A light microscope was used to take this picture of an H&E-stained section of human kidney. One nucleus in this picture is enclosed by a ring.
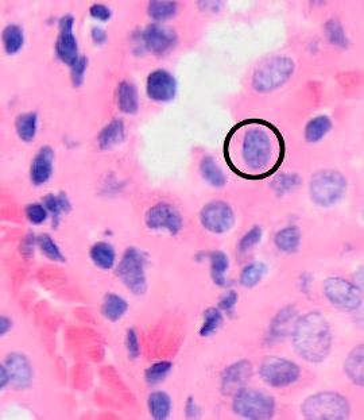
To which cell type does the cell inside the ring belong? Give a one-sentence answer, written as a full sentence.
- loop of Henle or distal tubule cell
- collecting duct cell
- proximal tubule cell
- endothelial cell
In this section of tissue, the cell inside the ring is a loop of Henle or distal tubule cell.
